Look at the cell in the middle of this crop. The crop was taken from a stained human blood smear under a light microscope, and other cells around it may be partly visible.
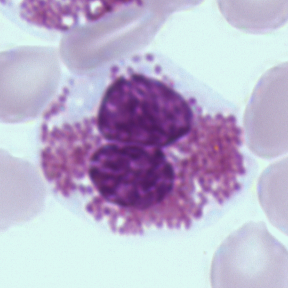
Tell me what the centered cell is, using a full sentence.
The cell in the exact centre of the crop is an eosinophil.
